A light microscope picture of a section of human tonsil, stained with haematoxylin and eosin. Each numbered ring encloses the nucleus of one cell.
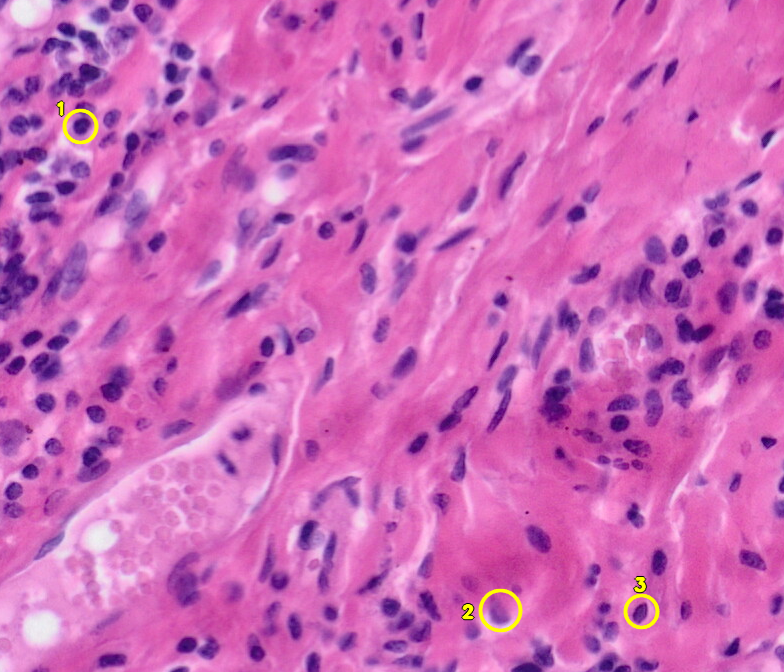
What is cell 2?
endothelial cell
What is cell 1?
plasma cell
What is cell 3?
mast cell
